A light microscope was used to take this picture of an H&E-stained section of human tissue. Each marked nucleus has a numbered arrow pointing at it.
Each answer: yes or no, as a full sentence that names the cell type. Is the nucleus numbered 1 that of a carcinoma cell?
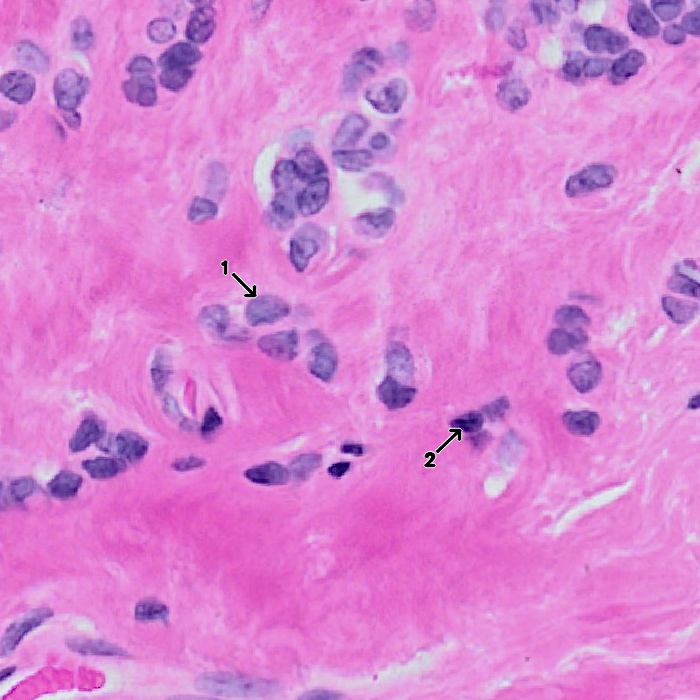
Yes, the cell to which number 1 refers is a carcinoma cell.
